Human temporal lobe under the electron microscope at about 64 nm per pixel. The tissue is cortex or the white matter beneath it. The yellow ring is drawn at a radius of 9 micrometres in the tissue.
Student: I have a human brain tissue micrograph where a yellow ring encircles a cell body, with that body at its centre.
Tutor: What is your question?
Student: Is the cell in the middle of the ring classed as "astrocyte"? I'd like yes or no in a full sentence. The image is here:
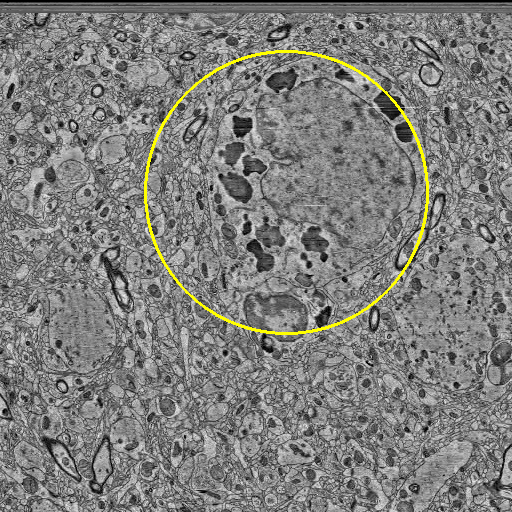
No, the ringed cell in the middle counts as another kind.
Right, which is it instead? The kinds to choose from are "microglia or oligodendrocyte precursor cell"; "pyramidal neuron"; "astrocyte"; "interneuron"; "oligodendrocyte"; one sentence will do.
The cell in the ring is an interneuron instead.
